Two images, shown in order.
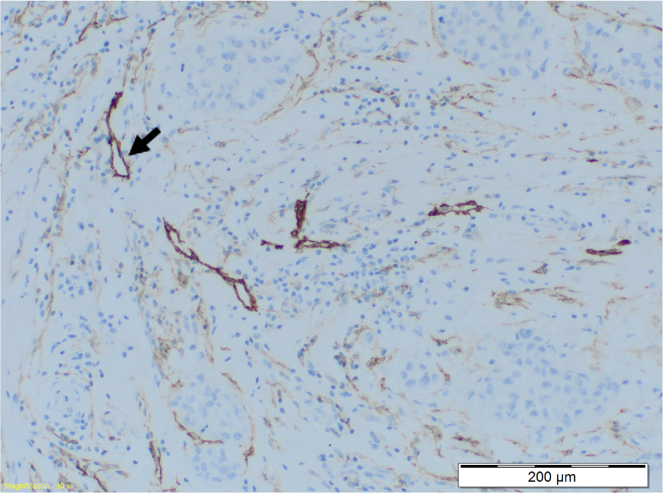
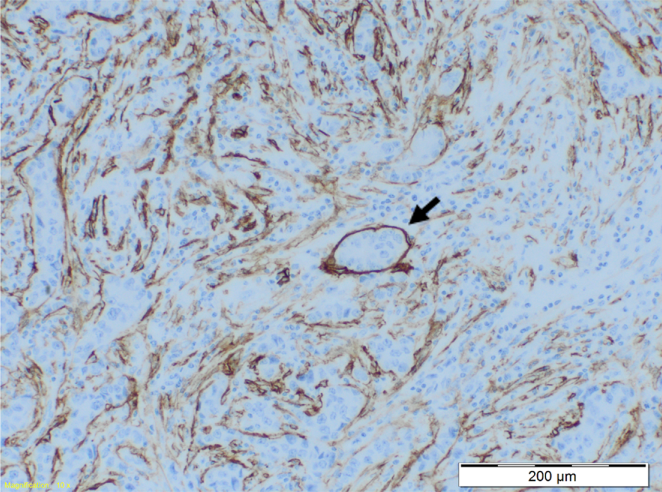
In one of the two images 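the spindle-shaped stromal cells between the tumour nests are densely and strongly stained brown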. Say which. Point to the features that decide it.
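Second image: dense, dark brown staining of many spindle-shaped cells throughout the stroma. First image: the stroma shows only faint, sparse light brown staining apart from a few vessels.
Conclusion: the second image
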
